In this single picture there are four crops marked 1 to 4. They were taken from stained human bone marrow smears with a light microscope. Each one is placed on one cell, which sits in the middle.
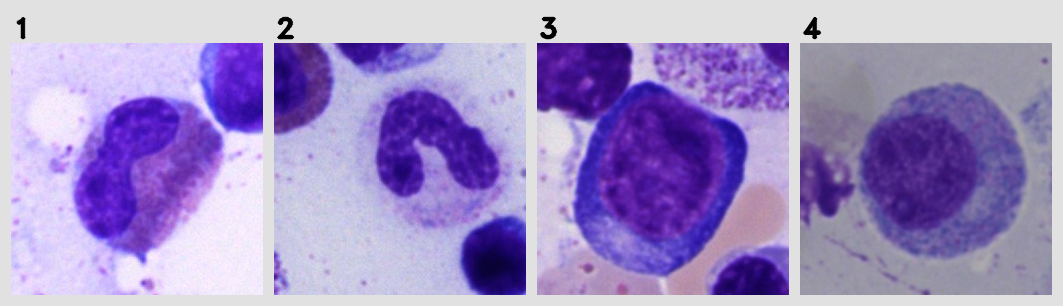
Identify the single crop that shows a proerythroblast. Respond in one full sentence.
It is the cell in crop 3 that is a proerythroblast.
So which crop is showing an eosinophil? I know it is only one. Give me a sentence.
Crop 1 is the one in this set that shows an eosinophil.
